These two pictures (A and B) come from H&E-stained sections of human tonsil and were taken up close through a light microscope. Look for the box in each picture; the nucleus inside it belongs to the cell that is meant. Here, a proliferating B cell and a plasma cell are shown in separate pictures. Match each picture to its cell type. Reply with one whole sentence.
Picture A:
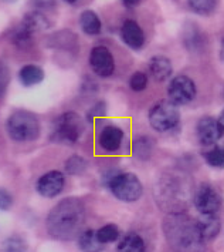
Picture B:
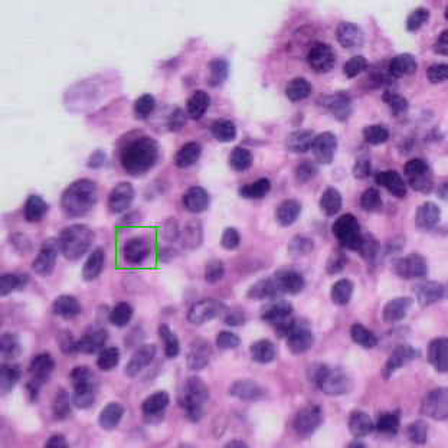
Picture A is of a plasma cell, and picture B is of a proliferating B cell.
